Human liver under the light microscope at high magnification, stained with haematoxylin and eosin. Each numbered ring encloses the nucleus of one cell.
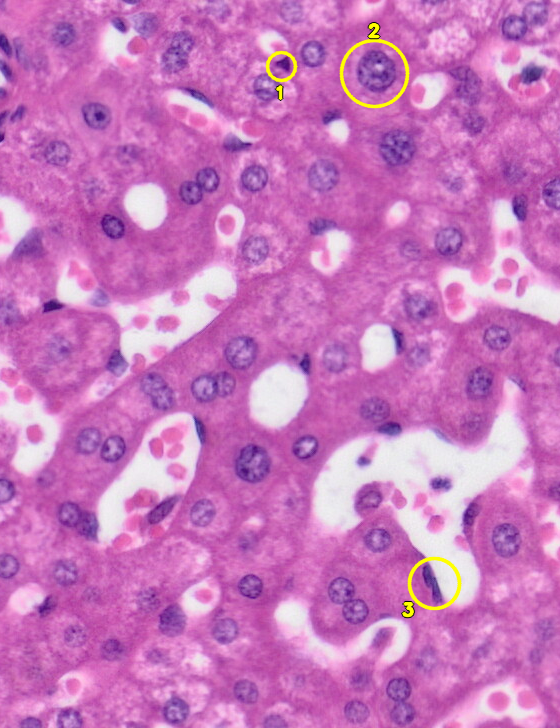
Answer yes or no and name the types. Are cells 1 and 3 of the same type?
Yes, briefly put, cells 1 and 3 are both fibroblasts or stellate cells.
